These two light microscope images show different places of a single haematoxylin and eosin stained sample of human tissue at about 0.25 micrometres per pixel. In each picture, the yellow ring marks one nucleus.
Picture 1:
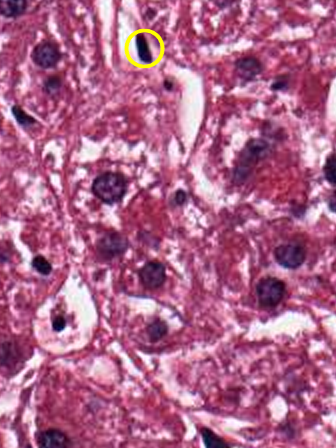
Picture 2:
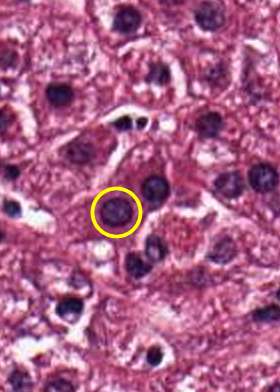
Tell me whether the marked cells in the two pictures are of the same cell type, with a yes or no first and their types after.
No, the first is an endothelial cell and the second an adrenal cortical cell.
